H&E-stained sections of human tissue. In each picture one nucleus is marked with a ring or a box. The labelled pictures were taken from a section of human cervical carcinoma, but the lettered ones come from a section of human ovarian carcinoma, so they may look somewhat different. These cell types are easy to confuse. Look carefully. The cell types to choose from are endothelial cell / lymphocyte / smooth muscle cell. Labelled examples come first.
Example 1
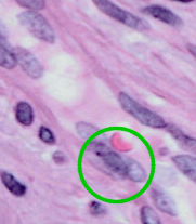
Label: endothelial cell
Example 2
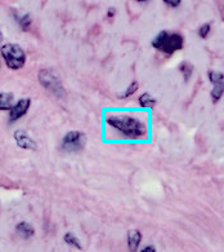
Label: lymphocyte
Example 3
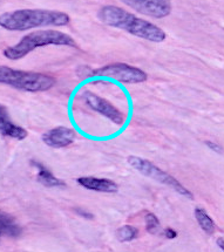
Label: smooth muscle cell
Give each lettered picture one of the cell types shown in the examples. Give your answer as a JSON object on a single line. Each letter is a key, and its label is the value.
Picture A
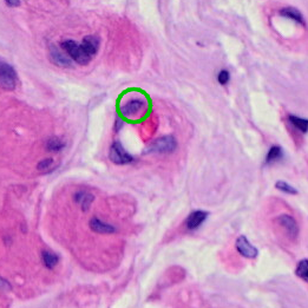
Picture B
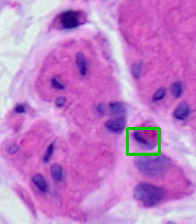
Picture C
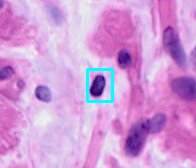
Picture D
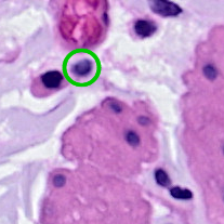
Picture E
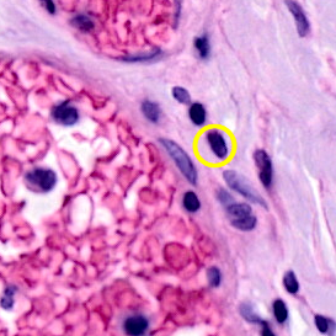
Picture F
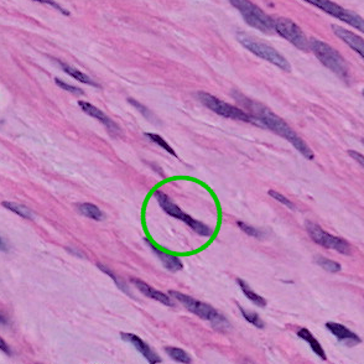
{"A": "endothelial cell", "B": "endothelial cell", "C": "lymphocyte", "D": "lymphocyte", "E": "lymphocyte", "F": "smooth muscle cell"}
